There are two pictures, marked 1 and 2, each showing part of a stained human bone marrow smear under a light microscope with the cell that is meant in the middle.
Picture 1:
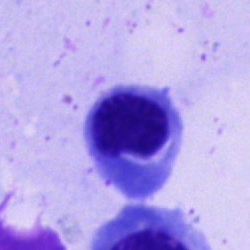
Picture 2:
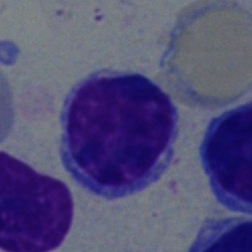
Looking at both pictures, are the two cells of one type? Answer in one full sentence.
No. Picture 1 shows an erythroblast, but picture 2 shows a lymphocyte.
